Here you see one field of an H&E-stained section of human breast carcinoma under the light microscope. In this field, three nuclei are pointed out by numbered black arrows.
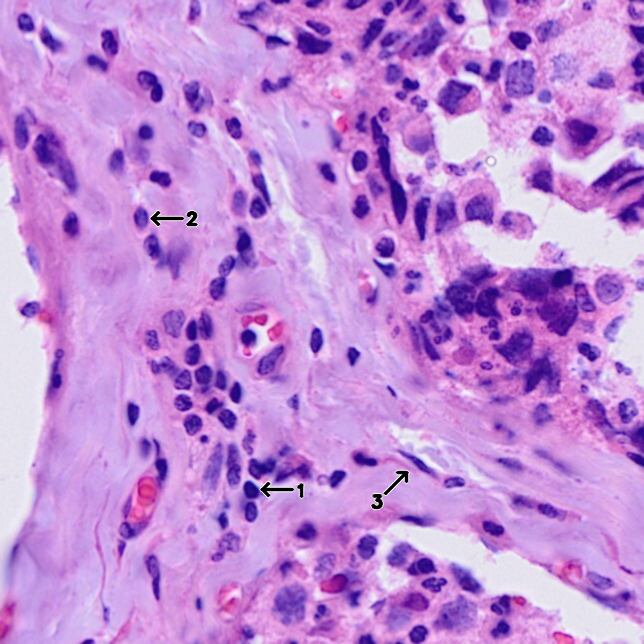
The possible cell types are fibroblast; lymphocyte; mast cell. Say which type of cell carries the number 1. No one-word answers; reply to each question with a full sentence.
The cell numbered 1 has been identified as a lymphocyte.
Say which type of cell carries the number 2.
The cell given label 2 is a mast cell.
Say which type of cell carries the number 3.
In this section, number 3 marks a fibroblast.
